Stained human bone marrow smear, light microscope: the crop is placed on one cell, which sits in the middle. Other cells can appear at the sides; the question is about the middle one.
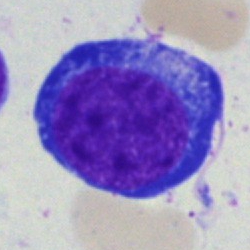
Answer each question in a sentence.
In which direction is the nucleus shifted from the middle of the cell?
The nucleus is pushed toward the lower left of the cell.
